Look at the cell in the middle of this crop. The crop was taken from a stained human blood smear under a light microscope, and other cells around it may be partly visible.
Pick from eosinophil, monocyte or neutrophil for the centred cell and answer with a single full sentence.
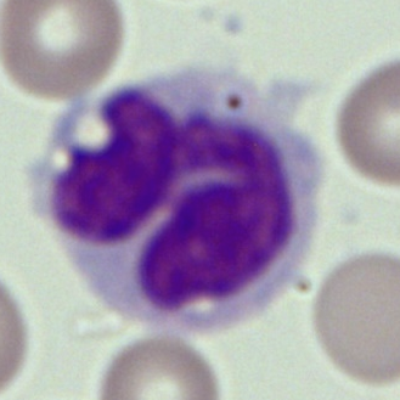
The central cell shown in this smear crop is a monocyte.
